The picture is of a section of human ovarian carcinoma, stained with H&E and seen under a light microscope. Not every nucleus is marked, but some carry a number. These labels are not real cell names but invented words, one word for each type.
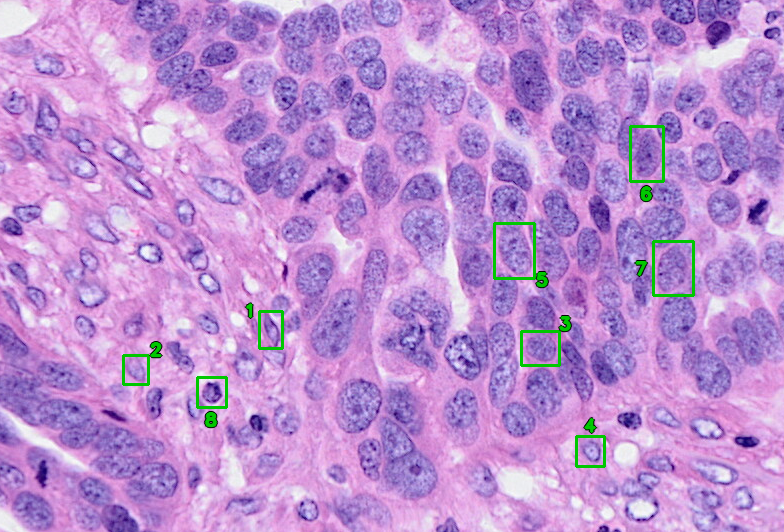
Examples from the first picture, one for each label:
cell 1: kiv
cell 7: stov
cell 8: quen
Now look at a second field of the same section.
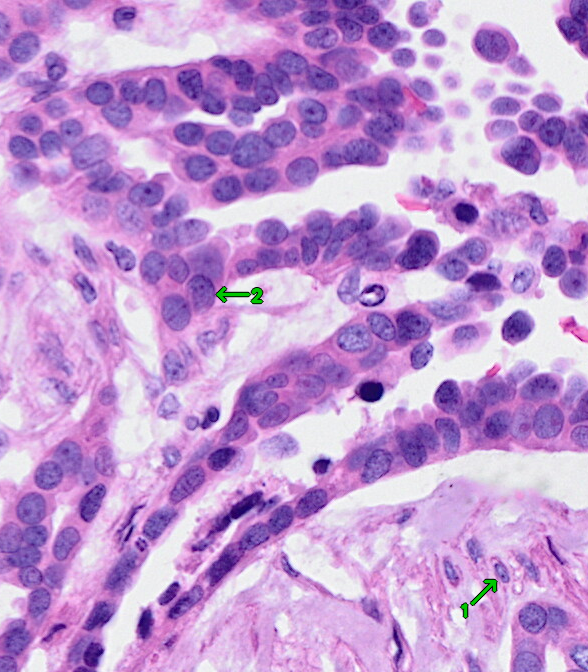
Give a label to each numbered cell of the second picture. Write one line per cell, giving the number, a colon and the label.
1: kiv
2: stov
